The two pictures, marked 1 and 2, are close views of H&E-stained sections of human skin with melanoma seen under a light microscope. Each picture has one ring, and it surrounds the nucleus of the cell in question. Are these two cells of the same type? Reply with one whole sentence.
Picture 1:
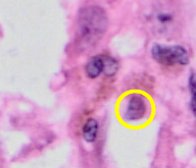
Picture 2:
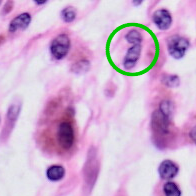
Yes, both are “macrophages or monocytes”.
